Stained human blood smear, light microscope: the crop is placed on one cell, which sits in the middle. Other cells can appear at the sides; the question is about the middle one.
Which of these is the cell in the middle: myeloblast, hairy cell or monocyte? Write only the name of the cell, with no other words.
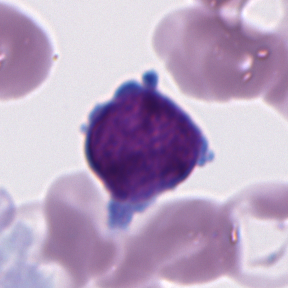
myeloblast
